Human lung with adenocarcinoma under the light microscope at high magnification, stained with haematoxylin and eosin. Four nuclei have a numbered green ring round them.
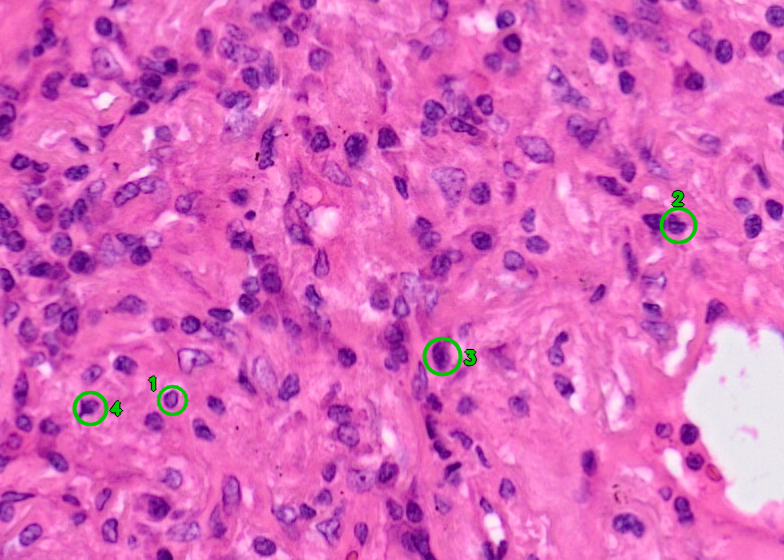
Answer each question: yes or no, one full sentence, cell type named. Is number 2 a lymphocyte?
Yes, the cell that is numbered 2 is a lymphocyte.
